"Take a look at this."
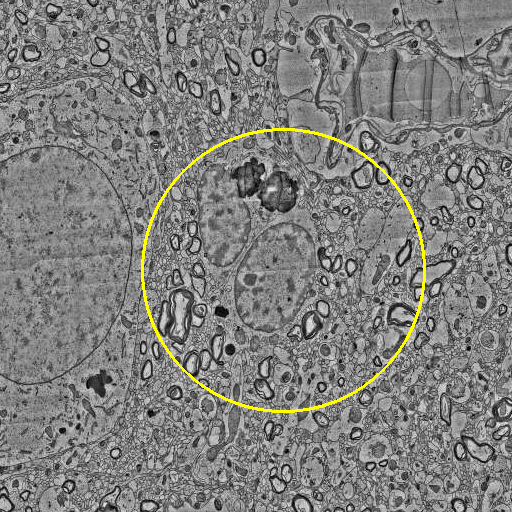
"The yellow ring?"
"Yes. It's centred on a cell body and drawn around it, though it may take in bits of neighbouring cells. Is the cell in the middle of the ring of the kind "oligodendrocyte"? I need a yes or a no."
Yes, it is of the kind asked about.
